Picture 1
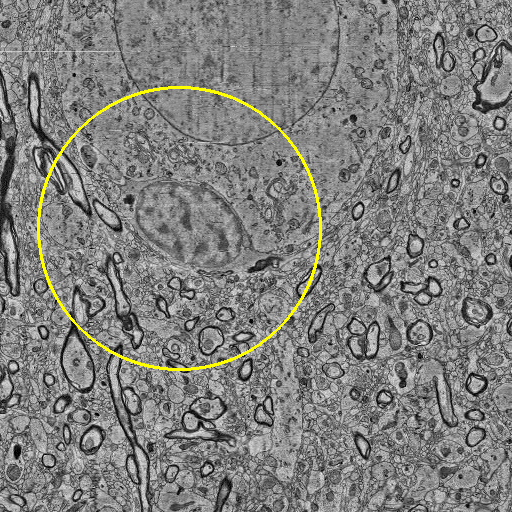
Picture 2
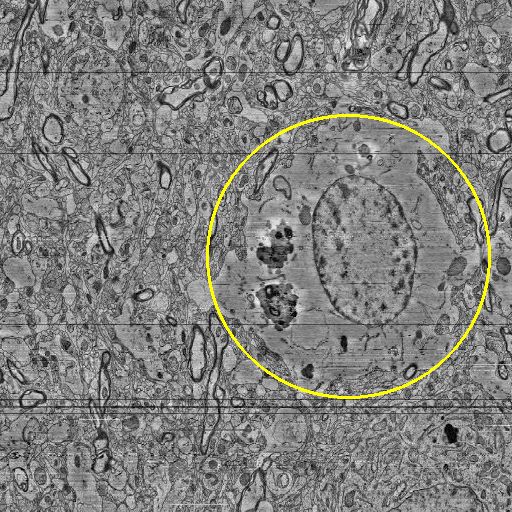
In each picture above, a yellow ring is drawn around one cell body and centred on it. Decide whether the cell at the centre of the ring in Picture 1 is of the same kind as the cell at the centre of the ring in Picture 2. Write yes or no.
no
